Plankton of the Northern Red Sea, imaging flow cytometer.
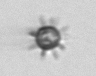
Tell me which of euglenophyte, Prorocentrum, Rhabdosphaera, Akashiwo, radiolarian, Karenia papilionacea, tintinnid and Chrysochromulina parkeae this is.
The picture shows Rhabdosphaera.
